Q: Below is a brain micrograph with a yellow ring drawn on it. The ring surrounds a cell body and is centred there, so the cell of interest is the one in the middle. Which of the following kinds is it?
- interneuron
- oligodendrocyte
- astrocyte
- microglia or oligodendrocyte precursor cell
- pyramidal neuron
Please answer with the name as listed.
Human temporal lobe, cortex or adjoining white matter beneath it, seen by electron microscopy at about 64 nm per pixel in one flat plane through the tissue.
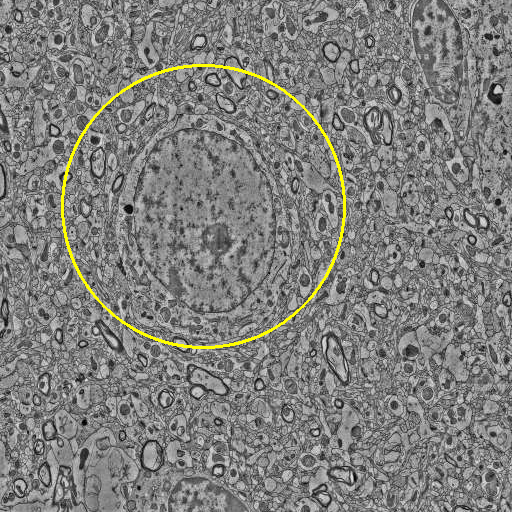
interneuron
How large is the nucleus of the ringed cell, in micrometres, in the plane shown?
The nucleus measures about 12 by 10 micrometres in this plane.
